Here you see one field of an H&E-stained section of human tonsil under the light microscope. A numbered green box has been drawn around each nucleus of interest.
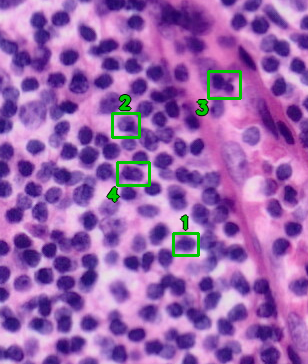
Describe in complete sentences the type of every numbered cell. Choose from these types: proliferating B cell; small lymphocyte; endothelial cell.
Cells 1, 2 and 4 are small lymphocytes. Cell 3 is an endothelial cell.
